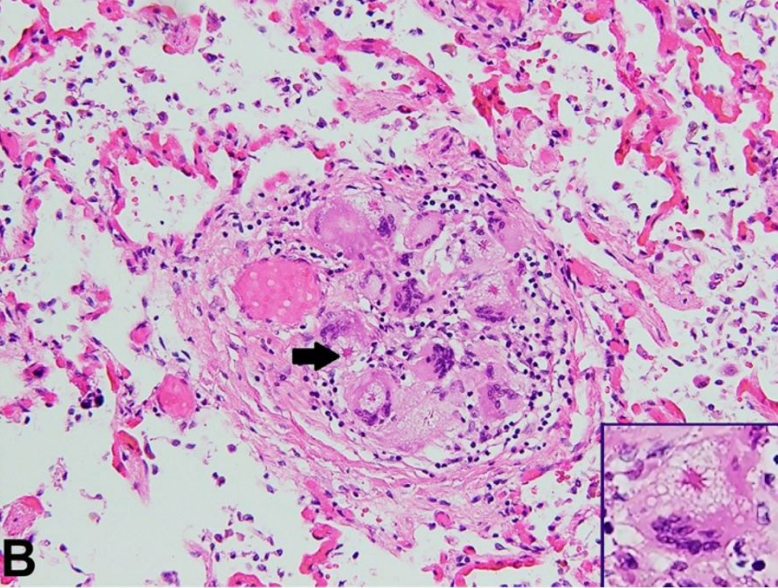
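This is a single granuloma in lung, a rounded compact nodule sitting among thin alveolar walls. Its centre holds several multinucleated giant cells with abundant pink cytoplasm and nuclei clustered at the periphery or in groups, mixed with epithelioid cells. Inside one giant cell a small star-shaped pink body with radiating spikes is seen, shown enlarged in the inset. A concentric rim of pale fibrous tissue with scattered small dark nuclei encloses the nodule.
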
